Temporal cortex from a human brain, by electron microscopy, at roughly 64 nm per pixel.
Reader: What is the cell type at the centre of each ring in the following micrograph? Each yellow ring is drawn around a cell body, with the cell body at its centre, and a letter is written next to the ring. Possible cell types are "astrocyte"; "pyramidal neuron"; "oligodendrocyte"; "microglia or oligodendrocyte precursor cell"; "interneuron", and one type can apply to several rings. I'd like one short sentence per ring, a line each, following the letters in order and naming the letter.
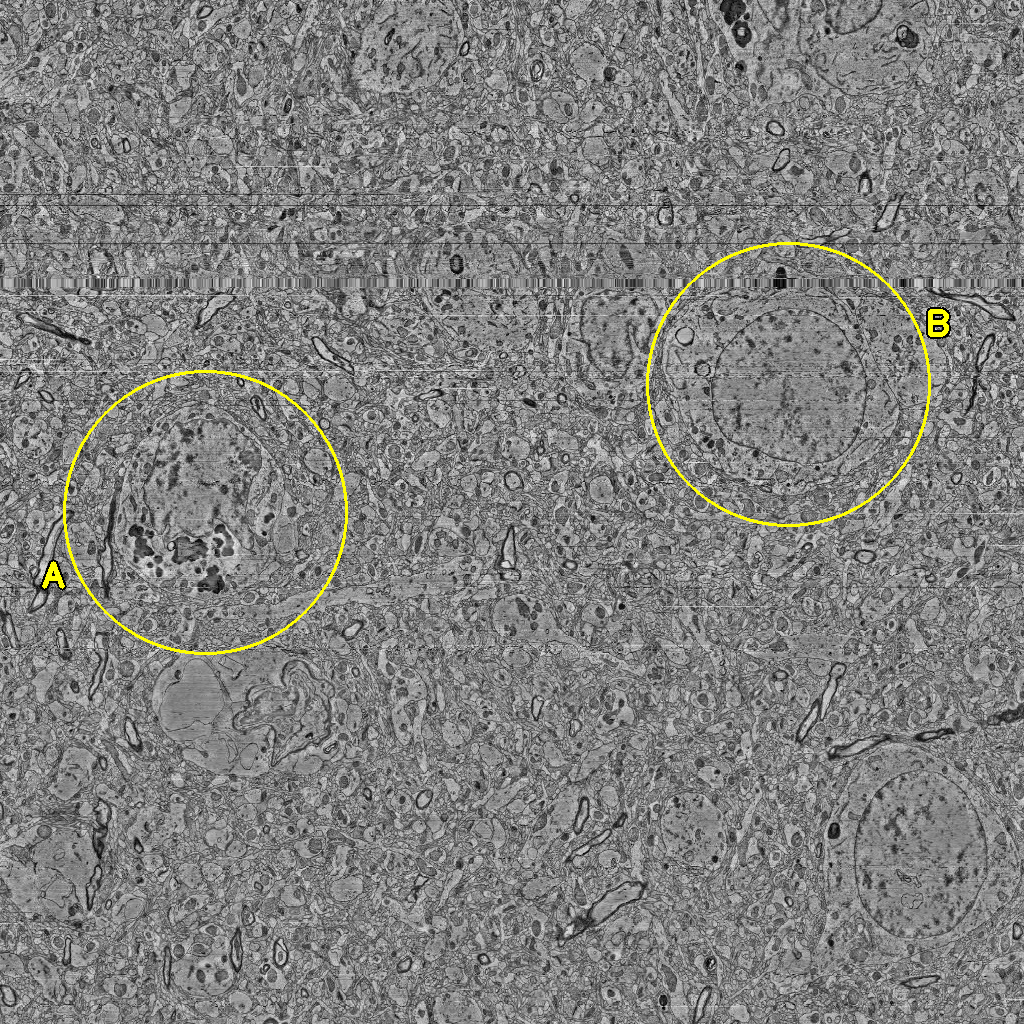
The cell body at the centre of ring A is that of an interneuron.
The cell body at the centre of ring B is that of a pyramidal neuron.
